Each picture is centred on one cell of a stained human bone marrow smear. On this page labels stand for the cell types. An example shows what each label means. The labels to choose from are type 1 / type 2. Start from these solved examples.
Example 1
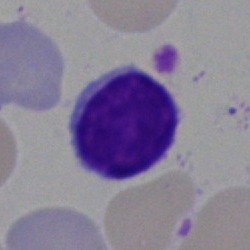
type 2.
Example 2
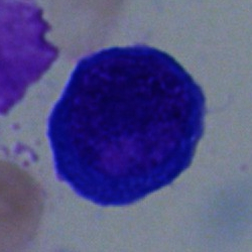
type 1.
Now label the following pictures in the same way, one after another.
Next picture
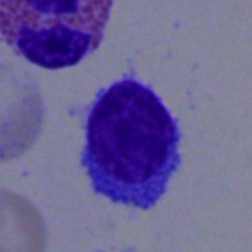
type 2.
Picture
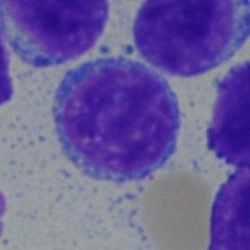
type 2.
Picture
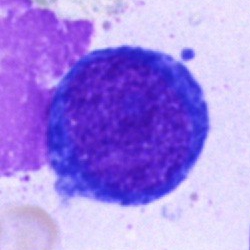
type 1.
